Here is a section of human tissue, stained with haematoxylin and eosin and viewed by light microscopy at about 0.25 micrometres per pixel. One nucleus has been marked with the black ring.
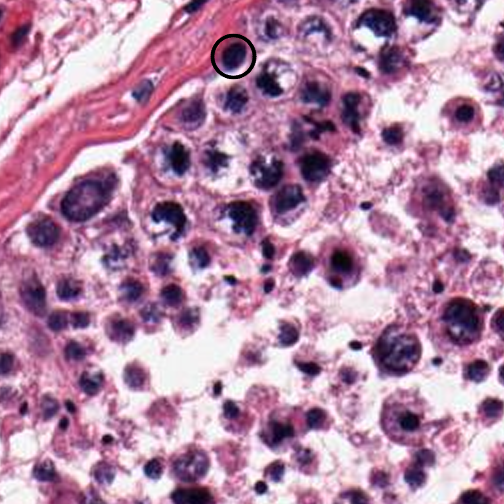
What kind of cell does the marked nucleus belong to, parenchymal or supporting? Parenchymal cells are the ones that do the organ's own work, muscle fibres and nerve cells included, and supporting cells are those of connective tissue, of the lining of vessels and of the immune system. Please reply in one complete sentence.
The marked nucleus is contained in a parenchymal cell, namely a spermatogonium.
